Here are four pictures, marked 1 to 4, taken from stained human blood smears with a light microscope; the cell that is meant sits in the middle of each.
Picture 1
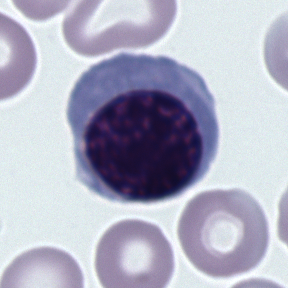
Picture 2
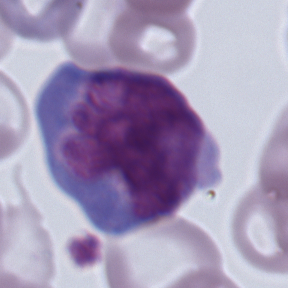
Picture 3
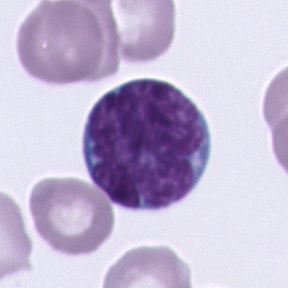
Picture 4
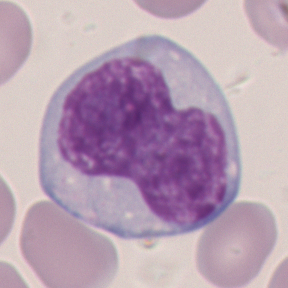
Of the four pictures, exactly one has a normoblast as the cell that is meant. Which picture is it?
1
